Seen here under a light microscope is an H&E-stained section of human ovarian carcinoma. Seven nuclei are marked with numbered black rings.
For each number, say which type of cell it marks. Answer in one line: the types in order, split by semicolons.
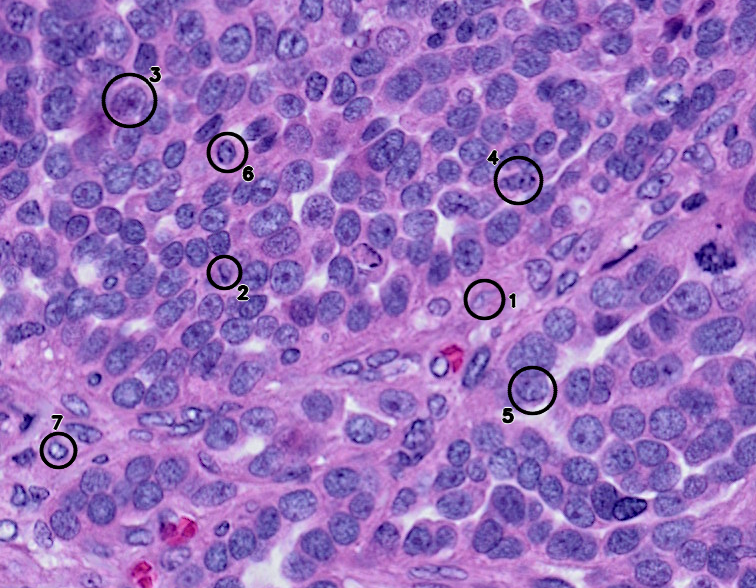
fibroblast; macrophage or monocyte; carcinoma cell; macrophage or monocyte; carcinoma cell; macrophage or monocyte; fibroblast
